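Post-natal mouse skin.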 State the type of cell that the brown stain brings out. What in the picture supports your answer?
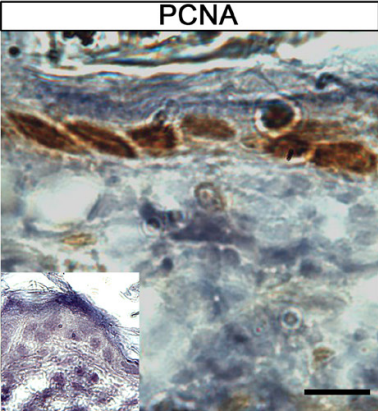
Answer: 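Brown-stained cells form a single row beneath the surface layer. The underlying tissue below this row is unstained blue-grey. The answer: proliferative basal cell population.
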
